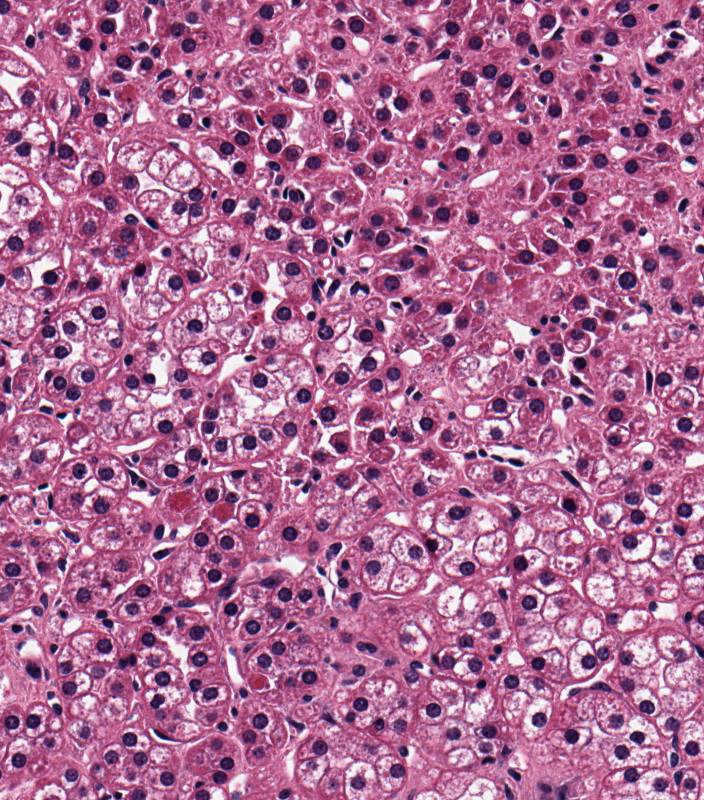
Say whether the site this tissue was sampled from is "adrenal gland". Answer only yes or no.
yes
